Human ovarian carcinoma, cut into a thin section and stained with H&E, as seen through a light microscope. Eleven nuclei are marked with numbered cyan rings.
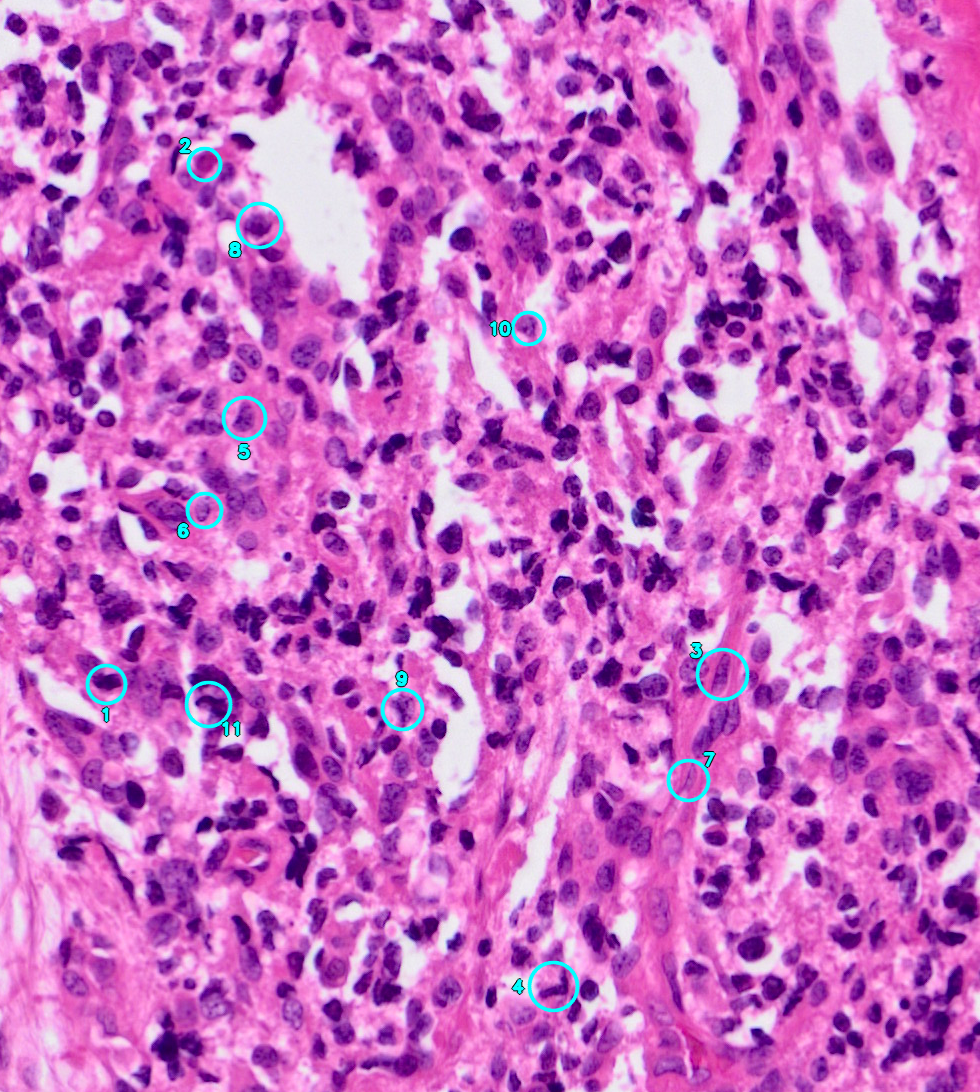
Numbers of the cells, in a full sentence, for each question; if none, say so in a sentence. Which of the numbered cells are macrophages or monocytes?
Cells that were given the numbers 4, 5, 6, 9 and 10 are macrophages or monocytes.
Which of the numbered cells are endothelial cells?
The cells to which the numbers 3 and 7 refer are endothelial cells.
